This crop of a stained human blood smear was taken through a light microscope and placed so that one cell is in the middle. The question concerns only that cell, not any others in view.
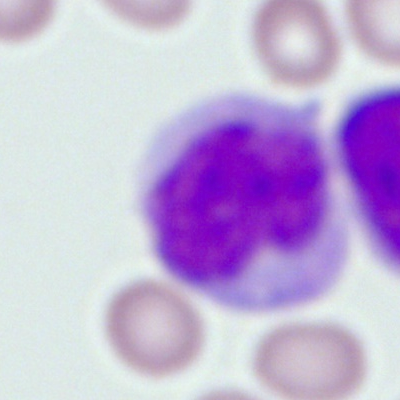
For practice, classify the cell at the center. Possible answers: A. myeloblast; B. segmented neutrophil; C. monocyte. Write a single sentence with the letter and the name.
Option C is the right one, for the cell in the middle is a monocyte.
